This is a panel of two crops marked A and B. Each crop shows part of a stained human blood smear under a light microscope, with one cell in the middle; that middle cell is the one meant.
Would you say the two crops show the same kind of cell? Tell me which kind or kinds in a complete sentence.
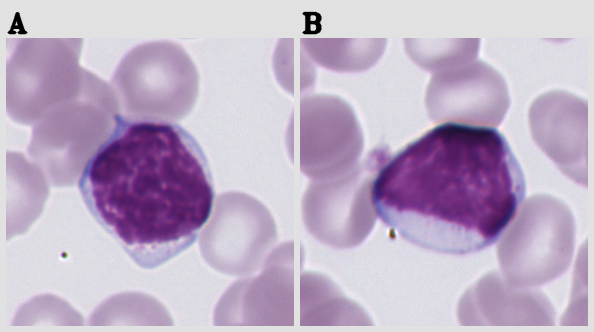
Yes, both crops show large granular lymphocytes, and nothing else needs adding.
